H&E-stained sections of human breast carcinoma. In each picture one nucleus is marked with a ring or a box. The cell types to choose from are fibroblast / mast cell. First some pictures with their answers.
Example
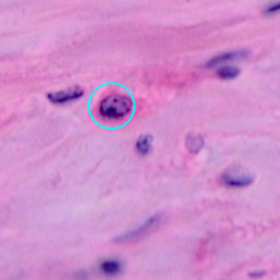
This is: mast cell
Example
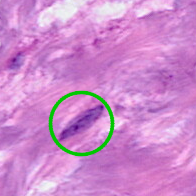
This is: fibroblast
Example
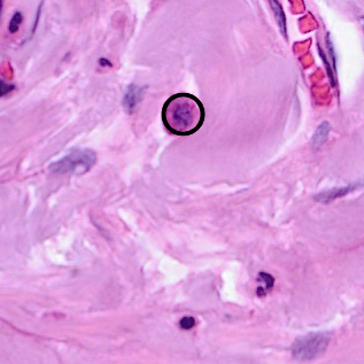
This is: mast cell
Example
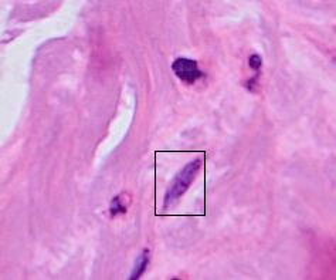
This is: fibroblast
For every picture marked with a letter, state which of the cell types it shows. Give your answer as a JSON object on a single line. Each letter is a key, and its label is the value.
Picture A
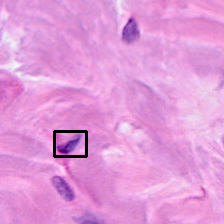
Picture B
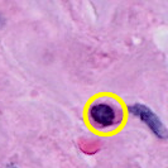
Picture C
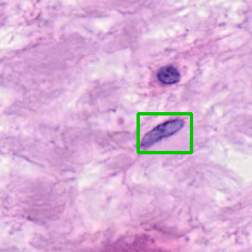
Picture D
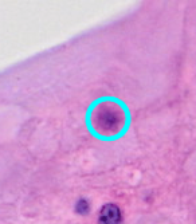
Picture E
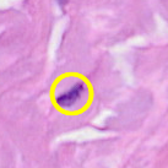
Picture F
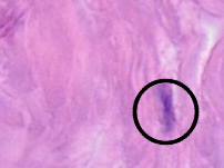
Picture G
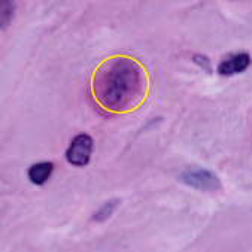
{"A": "fibroblast", "B": "mast cell", "C": "fibroblast", "D": "mast cell", "E": "fibroblast", "F": "fibroblast", "G": "mast cell"}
